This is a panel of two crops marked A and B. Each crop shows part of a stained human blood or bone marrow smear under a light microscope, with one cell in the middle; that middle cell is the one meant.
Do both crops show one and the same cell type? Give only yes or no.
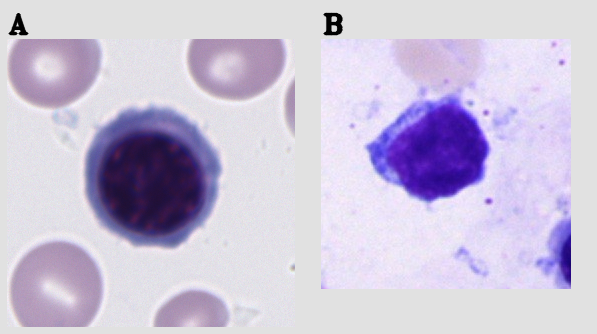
no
